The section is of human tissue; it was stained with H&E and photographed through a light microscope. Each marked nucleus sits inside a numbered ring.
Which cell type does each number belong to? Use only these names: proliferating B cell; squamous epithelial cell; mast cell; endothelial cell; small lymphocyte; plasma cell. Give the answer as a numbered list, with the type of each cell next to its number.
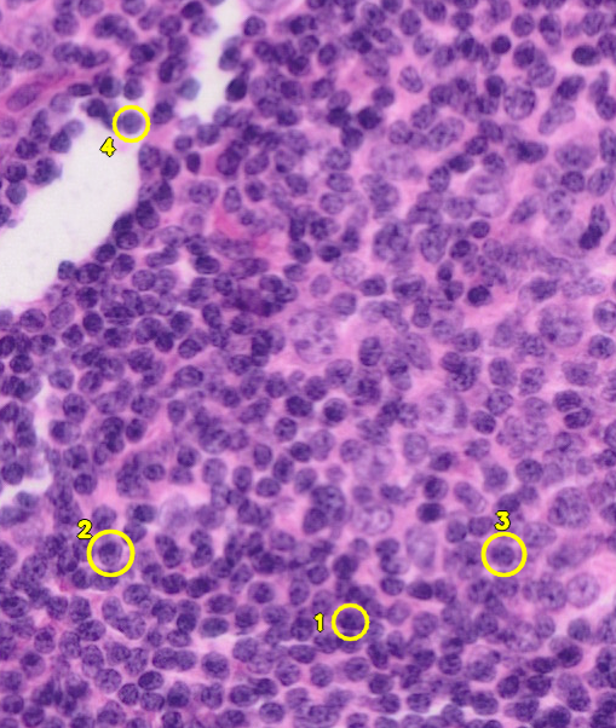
1. small lymphocyte
2. small lymphocyte
3. proliferating B cell
4. small lymphocyte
